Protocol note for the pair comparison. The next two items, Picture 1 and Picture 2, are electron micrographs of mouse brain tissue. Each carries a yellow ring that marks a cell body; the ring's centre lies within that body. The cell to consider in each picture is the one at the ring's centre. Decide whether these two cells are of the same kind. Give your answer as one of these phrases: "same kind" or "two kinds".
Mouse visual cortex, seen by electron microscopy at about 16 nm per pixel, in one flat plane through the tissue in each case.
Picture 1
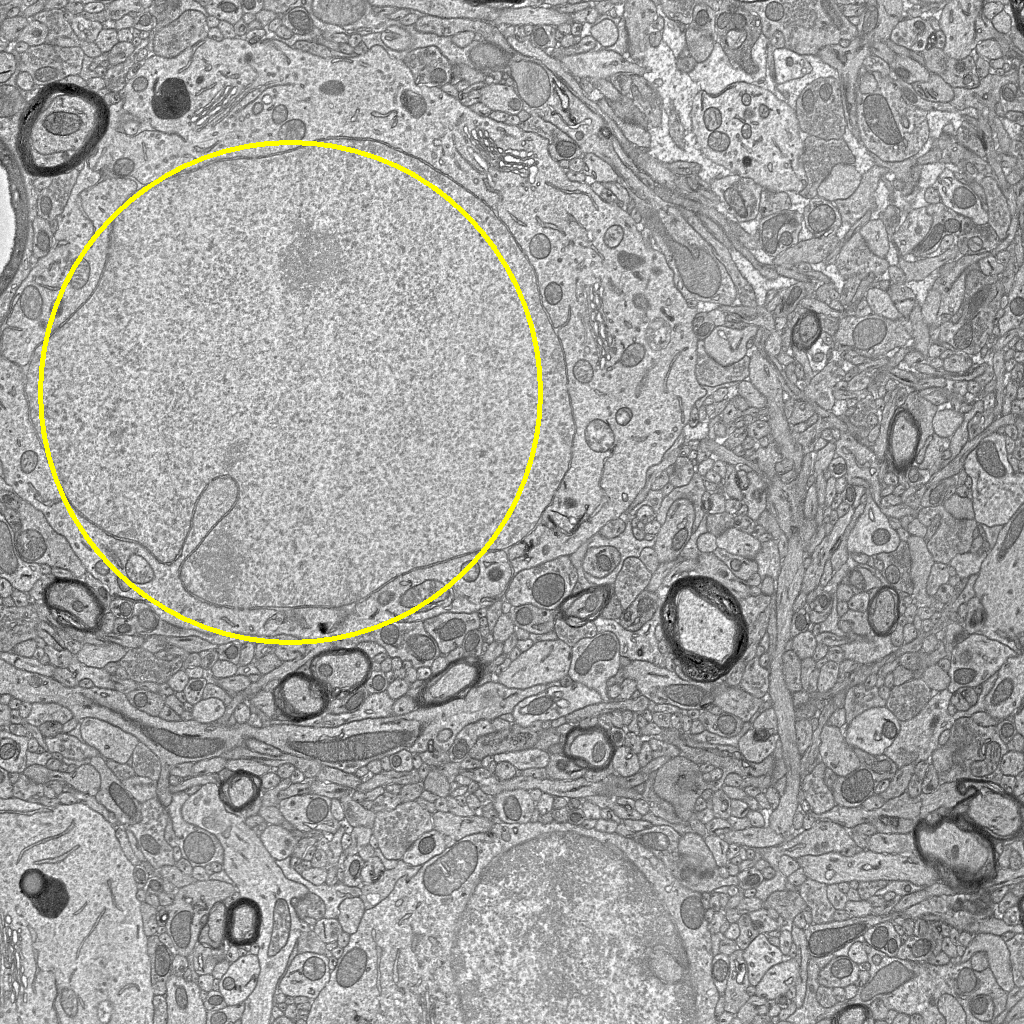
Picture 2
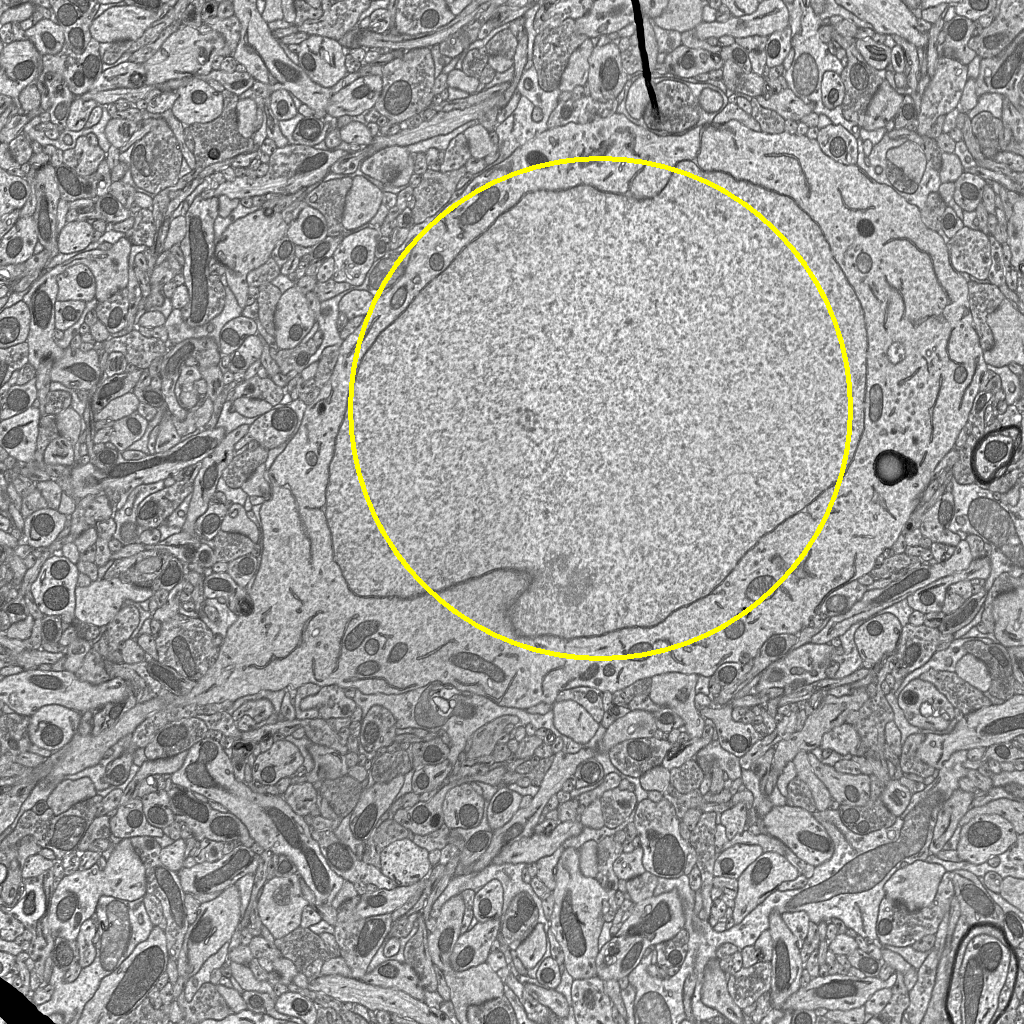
same kind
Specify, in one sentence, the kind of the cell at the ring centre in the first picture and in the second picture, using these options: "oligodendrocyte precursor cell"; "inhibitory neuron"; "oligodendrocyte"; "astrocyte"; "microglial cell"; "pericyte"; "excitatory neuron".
Each cell at the centre of a ring is an excitatory neuron.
